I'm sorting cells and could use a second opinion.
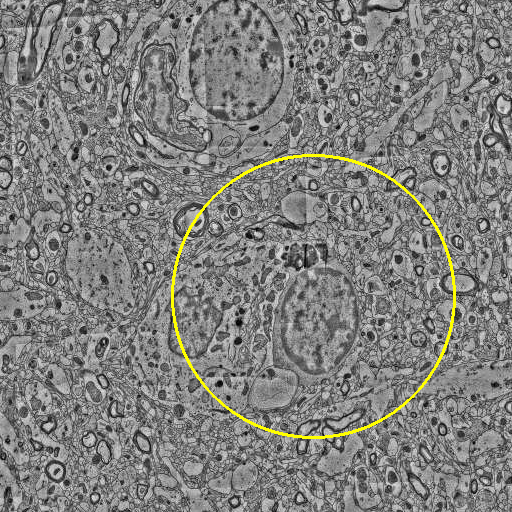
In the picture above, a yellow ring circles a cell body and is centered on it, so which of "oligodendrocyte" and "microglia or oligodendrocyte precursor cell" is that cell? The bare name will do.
oligodendrocyte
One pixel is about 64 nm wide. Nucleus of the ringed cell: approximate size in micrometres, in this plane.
In this plane the nucleus is about 7 micrometres by 5.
